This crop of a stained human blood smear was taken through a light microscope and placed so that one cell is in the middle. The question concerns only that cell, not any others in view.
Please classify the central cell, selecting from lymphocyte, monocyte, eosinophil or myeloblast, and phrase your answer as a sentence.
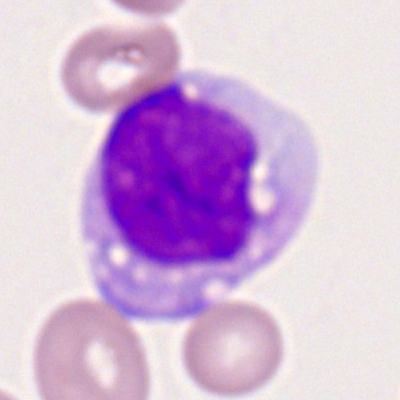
The middle cell in this particular crop is a monocyte.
